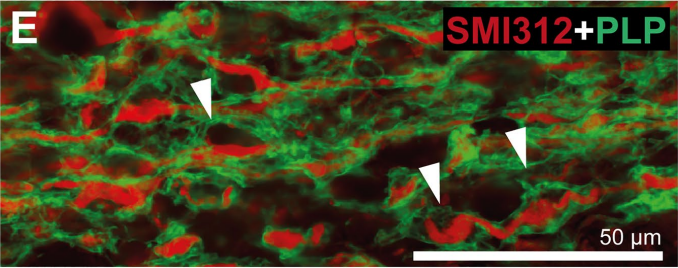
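This is white matter seen in fluorescence, with the axons in red and the myelin sheaths as a green meshwork around them. Most red axons are closely wrapped by thin green strands that follow their course. At several spots the green sheath lifts away from the red axon, forming a bubble-like pocket with a dark space inside. These pockets stand out as rounded loops of green beside or over the red fibres.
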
